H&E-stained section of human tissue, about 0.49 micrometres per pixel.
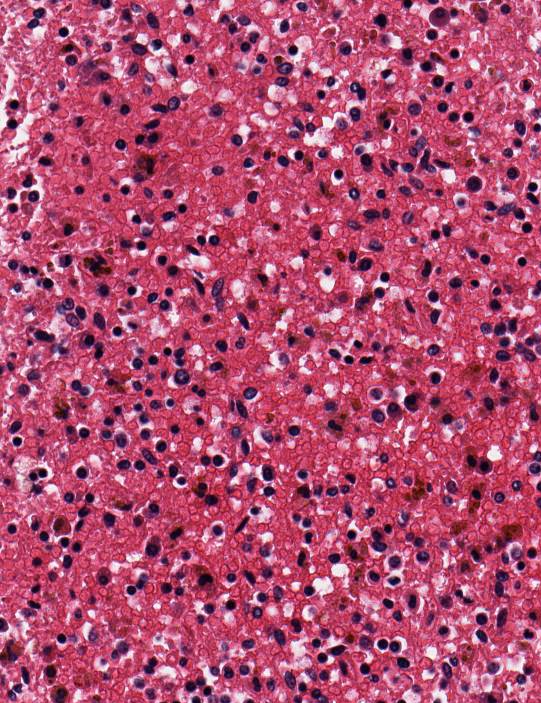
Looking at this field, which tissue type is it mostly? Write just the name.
red pulp of the spleen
